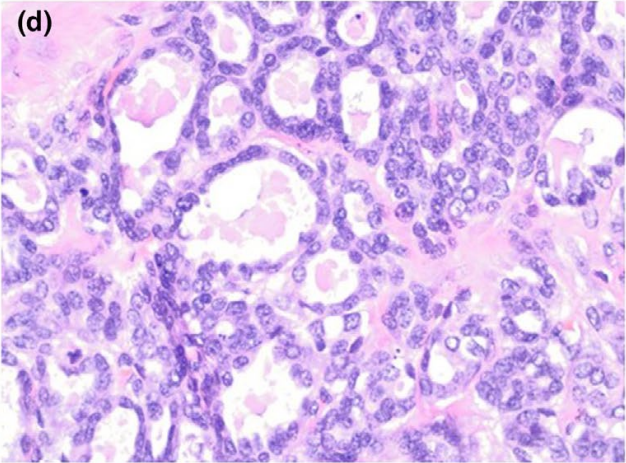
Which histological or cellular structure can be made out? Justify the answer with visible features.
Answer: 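Luminal eosinophilic colloid‐like material. Pink homogeneous material fills the lumens of small tubules. Tubules are lined by cells with oval vesicular nuclei.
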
